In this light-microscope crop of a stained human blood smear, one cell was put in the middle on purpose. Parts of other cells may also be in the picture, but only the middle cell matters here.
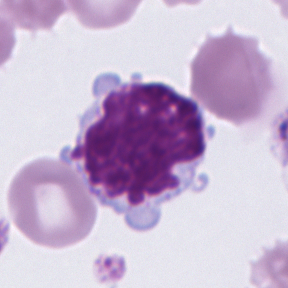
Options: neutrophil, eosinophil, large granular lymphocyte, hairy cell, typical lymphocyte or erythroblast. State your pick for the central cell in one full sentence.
The target cell in the middle of the crop is a typical lymphocyte.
